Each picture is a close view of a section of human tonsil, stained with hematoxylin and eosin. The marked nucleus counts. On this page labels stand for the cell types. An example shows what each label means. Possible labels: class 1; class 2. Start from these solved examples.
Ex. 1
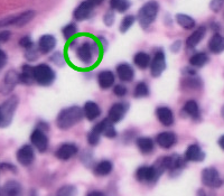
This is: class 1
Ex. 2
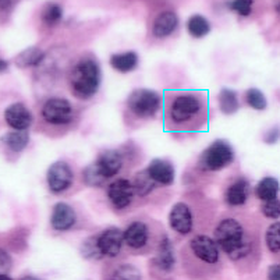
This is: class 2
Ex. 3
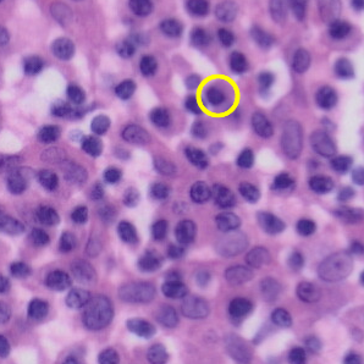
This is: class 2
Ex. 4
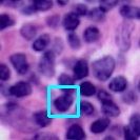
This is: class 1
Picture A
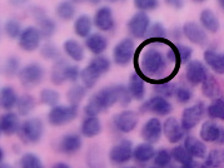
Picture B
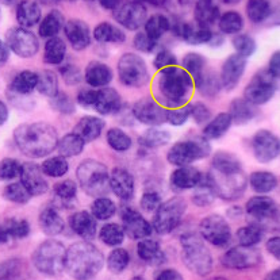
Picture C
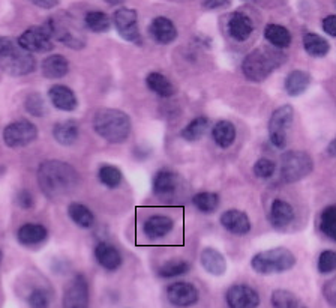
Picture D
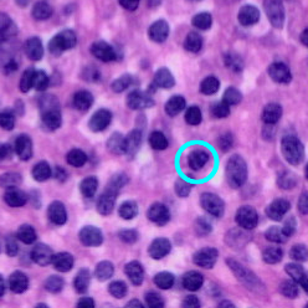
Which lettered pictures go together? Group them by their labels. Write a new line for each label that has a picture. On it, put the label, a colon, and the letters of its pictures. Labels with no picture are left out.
class 1: A, B
class 2: C, D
